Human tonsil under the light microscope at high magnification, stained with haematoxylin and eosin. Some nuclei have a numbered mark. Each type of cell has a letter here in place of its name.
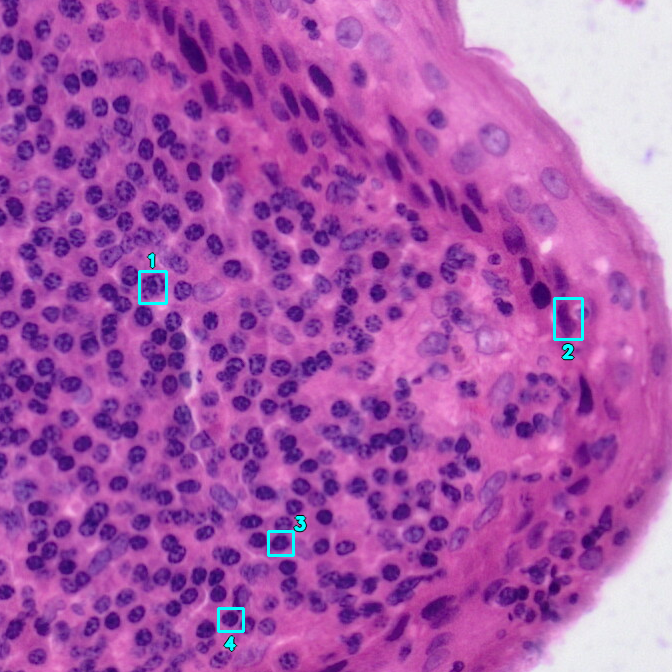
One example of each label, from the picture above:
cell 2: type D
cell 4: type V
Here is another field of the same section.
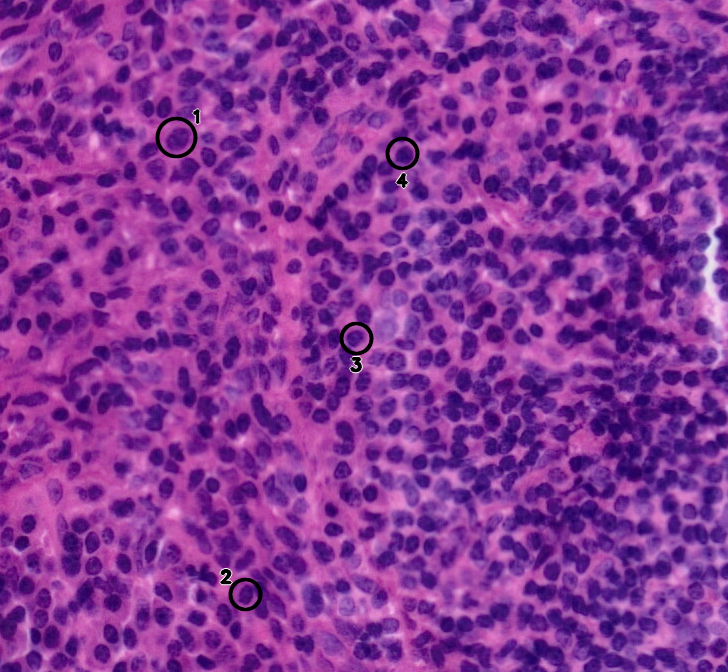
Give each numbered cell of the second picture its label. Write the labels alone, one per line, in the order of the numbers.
type D
type V
type V
type V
